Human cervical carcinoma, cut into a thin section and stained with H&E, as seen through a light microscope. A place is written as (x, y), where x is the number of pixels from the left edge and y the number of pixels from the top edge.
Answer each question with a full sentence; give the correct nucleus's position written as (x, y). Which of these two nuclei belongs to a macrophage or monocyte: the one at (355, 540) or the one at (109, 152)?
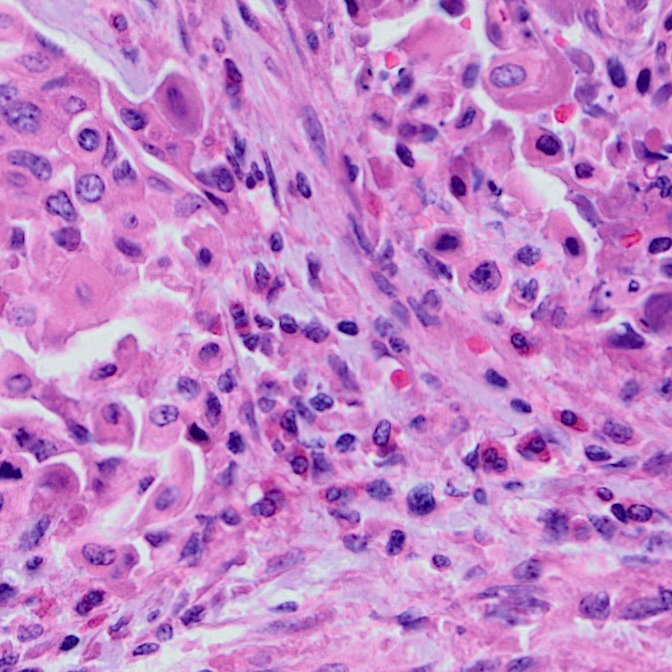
Of these two nuclei, only the one at (355, 540) belongs to a macrophage or monocyte.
